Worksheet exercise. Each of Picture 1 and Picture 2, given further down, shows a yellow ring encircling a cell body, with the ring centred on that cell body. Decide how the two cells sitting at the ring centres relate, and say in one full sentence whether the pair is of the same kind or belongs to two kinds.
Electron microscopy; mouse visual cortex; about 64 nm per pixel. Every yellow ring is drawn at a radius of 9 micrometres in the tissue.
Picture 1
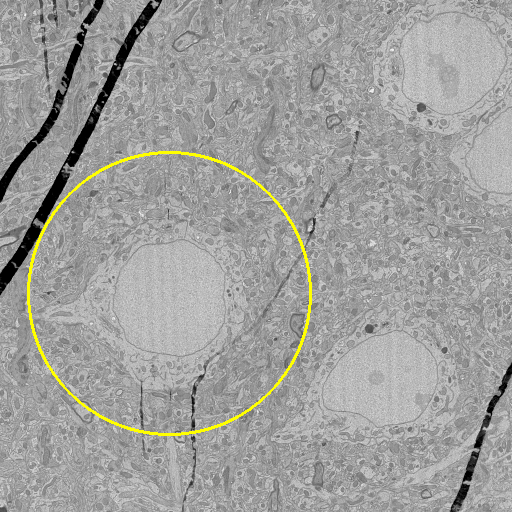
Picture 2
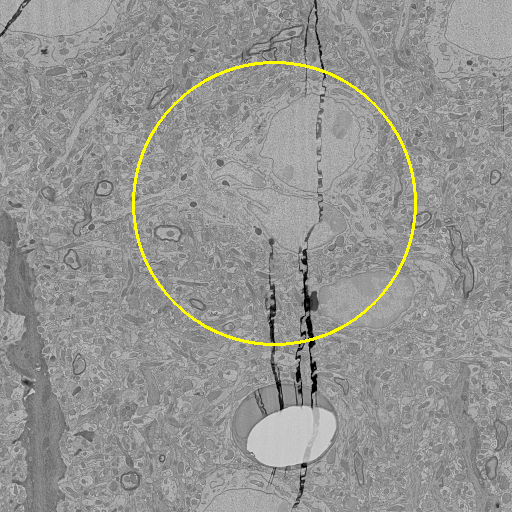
The cells at the ring centres in Picture 1 and Picture 2 belong to two kinds.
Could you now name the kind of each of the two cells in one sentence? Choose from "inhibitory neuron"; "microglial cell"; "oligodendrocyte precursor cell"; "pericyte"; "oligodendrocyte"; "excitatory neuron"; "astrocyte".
The first ring encloses an excitatory neuron; the second ring encloses an oligodendrocyte precursor cell.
